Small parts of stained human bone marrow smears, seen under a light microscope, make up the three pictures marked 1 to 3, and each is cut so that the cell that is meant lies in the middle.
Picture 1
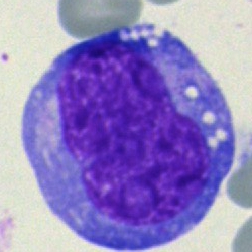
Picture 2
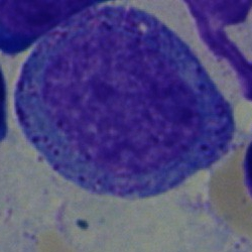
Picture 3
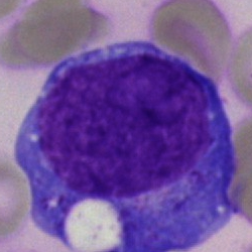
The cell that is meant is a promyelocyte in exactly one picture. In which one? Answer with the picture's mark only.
2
